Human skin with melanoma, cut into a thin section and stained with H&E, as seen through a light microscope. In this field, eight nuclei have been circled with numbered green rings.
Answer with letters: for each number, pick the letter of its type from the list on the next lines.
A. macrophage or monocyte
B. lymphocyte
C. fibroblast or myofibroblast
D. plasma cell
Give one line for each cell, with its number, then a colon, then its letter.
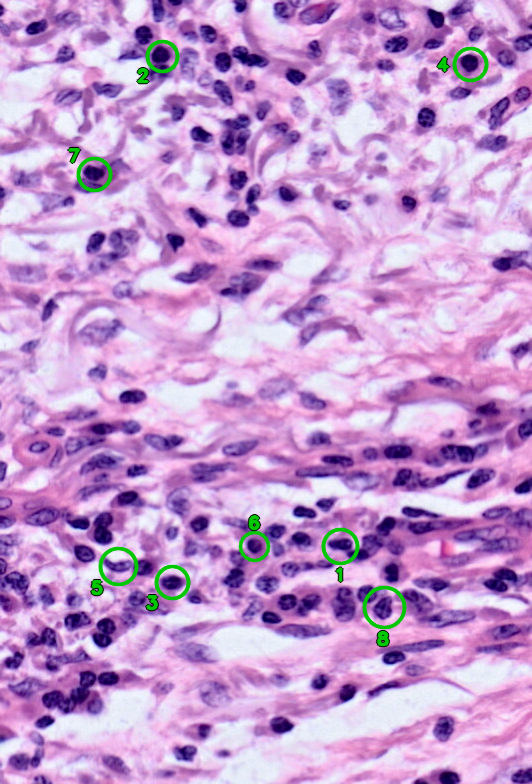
1: B
2: D
3: D
4: D
5: C
6: D
7: D
8: B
